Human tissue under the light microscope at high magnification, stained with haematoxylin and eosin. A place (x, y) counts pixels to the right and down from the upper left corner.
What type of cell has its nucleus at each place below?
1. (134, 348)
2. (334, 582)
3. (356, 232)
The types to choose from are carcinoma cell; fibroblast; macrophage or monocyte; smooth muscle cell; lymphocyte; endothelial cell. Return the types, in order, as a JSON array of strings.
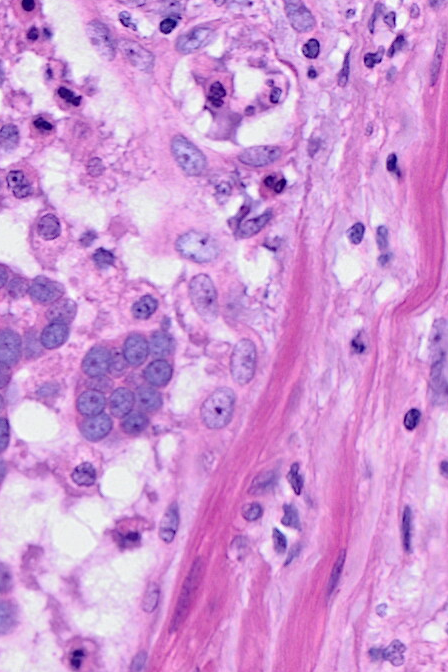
["carcinoma cell", "smooth muscle cell", "lymphocyte"]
